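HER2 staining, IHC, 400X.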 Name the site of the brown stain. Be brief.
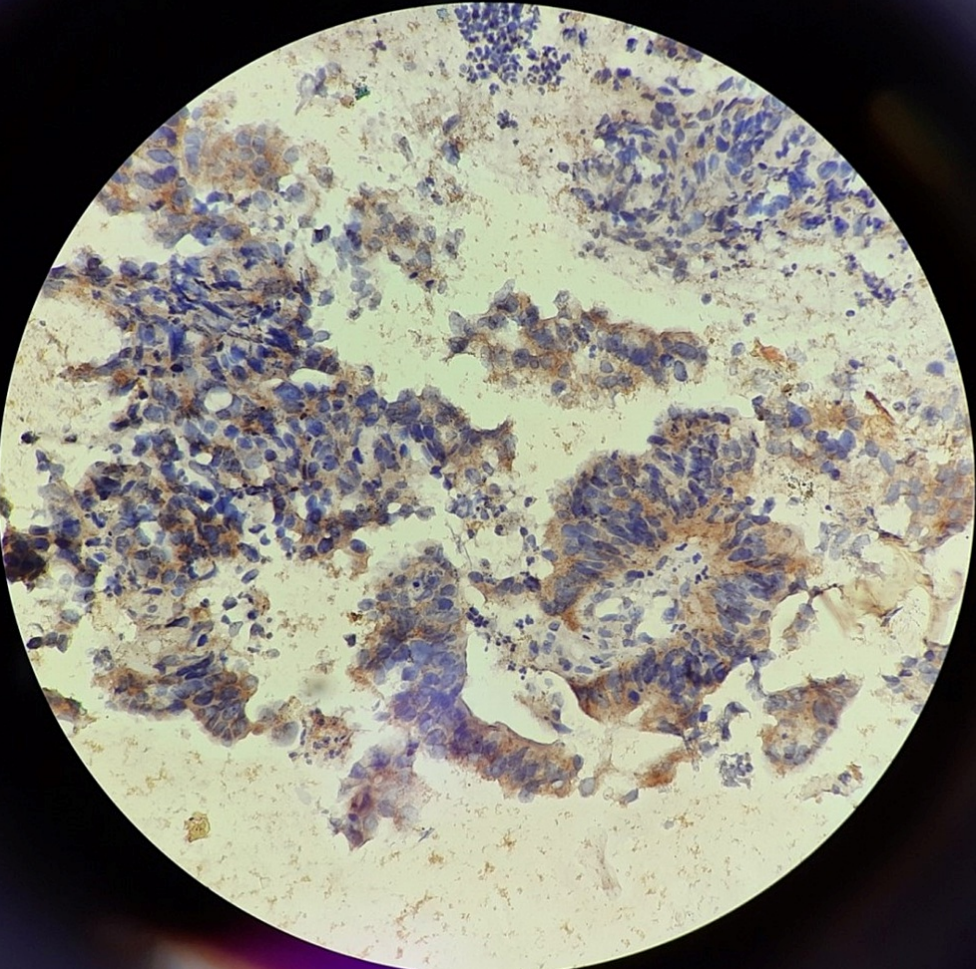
cytoplasmic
